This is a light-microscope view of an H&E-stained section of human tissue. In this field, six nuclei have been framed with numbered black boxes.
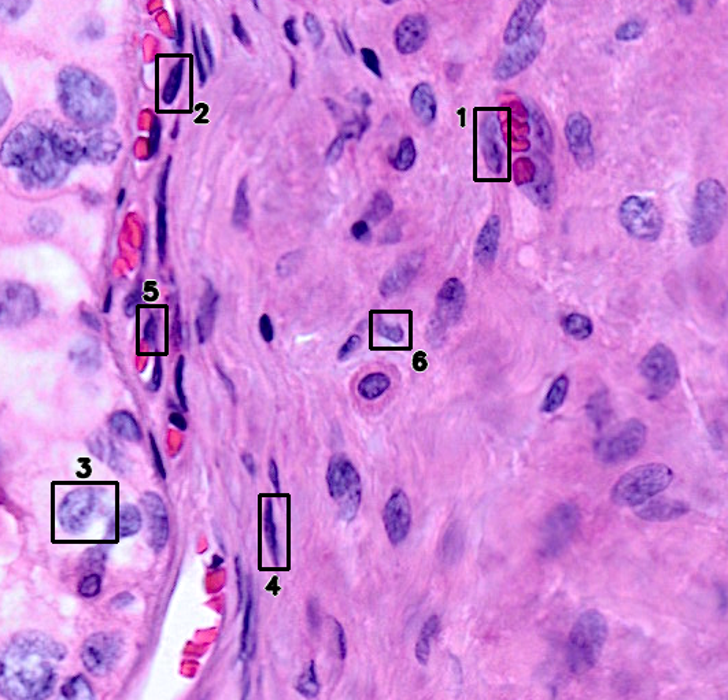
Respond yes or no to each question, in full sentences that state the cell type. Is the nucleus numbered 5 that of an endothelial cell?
Yes, and to answer plainly, cell 5 is an endothelial cell.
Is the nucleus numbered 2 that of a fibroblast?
No, it is an endothelial cell, rather than a fibroblast, that carries number 2.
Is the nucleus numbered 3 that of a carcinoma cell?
Yes, in the section, number 3 is a carcinoma cell.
